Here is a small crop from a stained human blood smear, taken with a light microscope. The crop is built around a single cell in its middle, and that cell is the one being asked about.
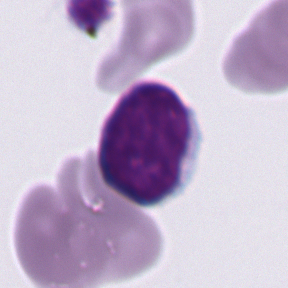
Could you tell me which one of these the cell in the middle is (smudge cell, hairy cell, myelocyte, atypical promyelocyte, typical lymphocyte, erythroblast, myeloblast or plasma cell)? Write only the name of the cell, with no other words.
typical lymphocyte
